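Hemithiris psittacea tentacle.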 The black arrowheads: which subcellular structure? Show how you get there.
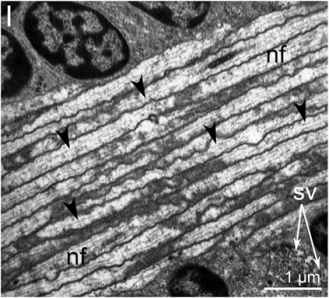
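Long parallel pale processes run diagonally across the field. Arrowheads point to thin dark lines running lengthwise inside the pale processes.
Hence: thick microtubules.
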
